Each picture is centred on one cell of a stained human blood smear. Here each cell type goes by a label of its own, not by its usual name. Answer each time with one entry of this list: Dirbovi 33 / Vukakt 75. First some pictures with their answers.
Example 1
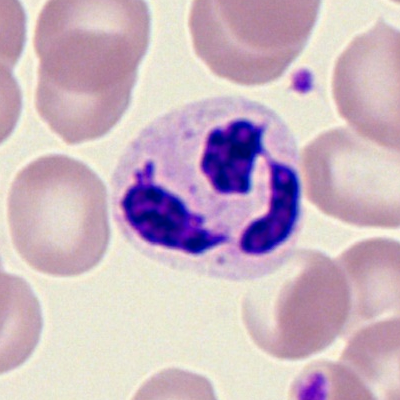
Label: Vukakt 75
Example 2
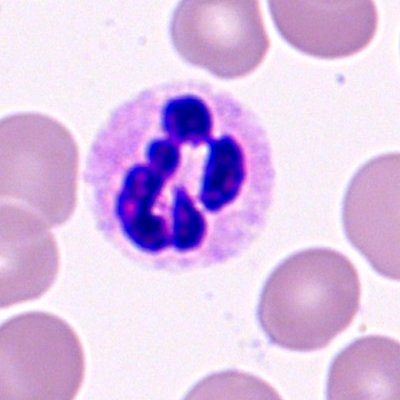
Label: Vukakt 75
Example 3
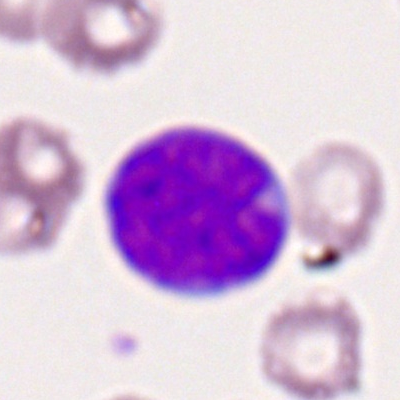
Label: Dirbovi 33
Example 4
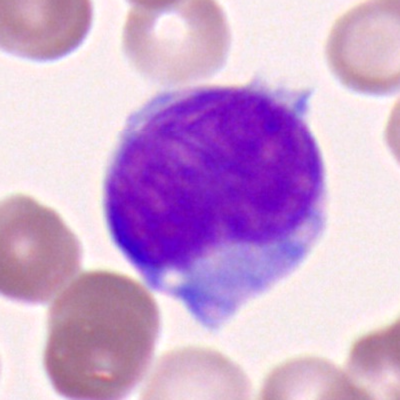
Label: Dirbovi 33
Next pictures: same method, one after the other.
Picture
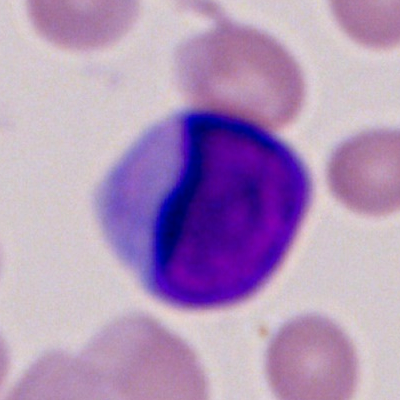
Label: Dirbovi 33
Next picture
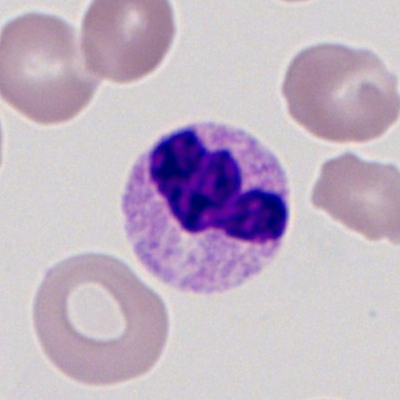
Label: Vukakt 75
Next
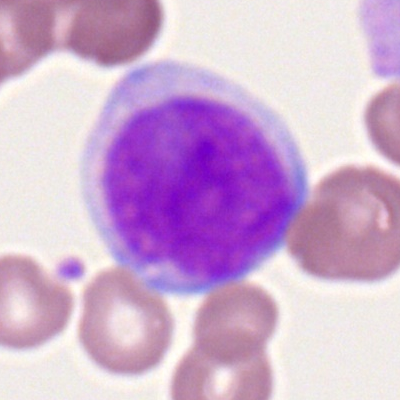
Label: Dirbovi 33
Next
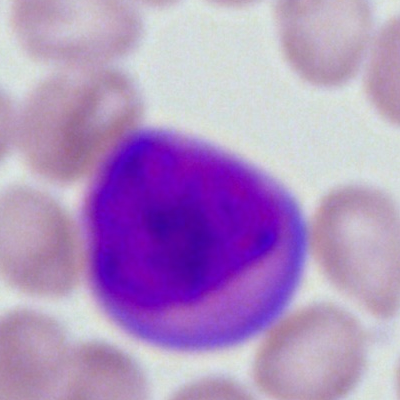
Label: Dirbovi 33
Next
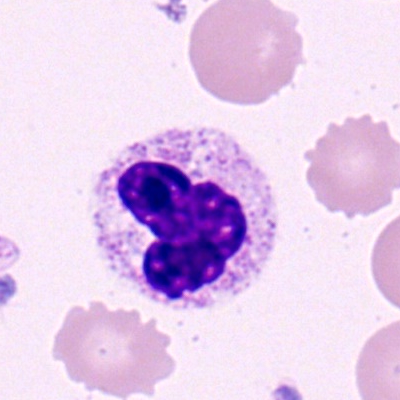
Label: Vukakt 75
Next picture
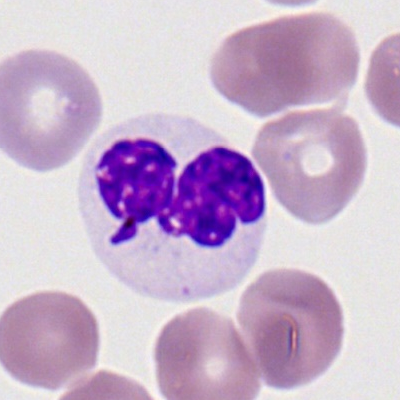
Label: Vukakt 75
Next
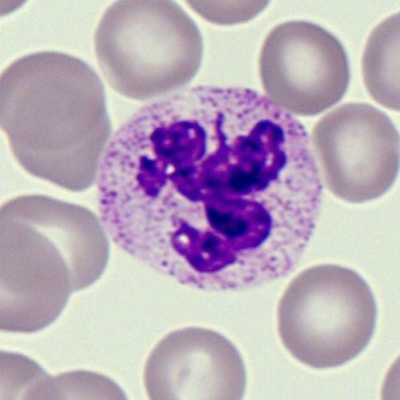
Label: Vukakt 75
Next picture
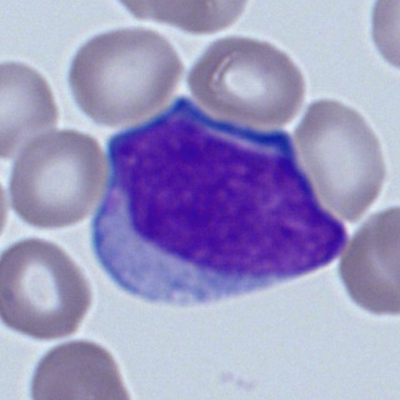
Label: Dirbovi 33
